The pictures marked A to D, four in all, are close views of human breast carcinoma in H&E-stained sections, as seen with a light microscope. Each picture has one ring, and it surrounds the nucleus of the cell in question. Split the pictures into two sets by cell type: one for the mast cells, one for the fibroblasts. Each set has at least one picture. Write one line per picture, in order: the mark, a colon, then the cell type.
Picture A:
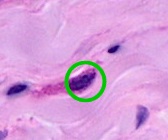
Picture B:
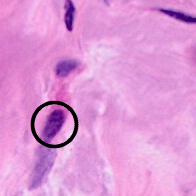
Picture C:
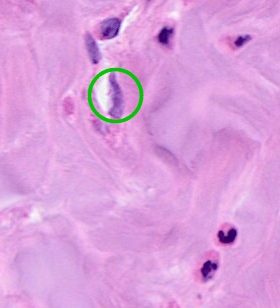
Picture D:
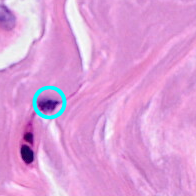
A: mast cell
B: mast cell
C: fibroblast
D: fibroblast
